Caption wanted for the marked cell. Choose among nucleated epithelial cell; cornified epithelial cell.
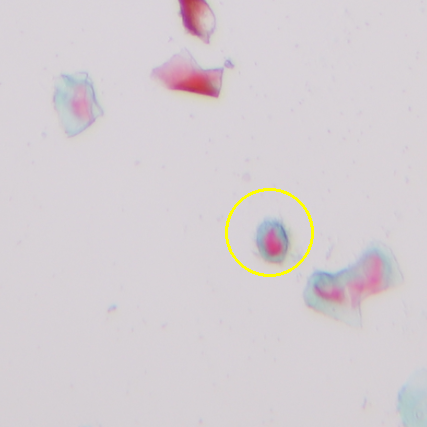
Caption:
Ringed in yellow is a nucleated epithelial cell.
